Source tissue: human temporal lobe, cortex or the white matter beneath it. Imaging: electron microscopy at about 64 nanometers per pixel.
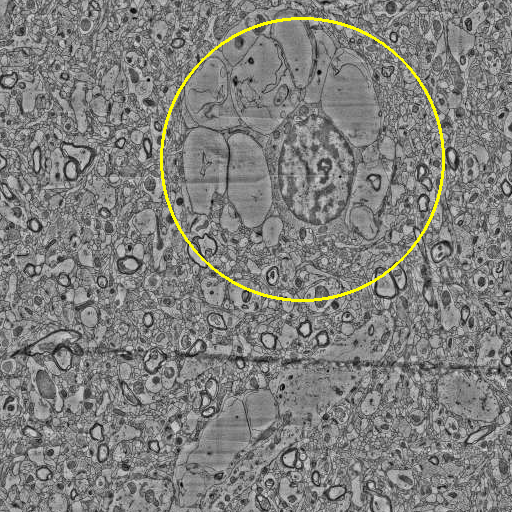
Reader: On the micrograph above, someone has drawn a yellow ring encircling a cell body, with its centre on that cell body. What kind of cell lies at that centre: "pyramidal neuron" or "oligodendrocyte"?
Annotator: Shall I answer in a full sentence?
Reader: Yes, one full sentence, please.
Here an oligodendrocyte sits at the centre of the yellow ring drawn on the micrograph.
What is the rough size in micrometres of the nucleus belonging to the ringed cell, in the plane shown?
In this plane the nucleus is clearly longer than it is wide, at approximately 6 by 4 micrometres.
